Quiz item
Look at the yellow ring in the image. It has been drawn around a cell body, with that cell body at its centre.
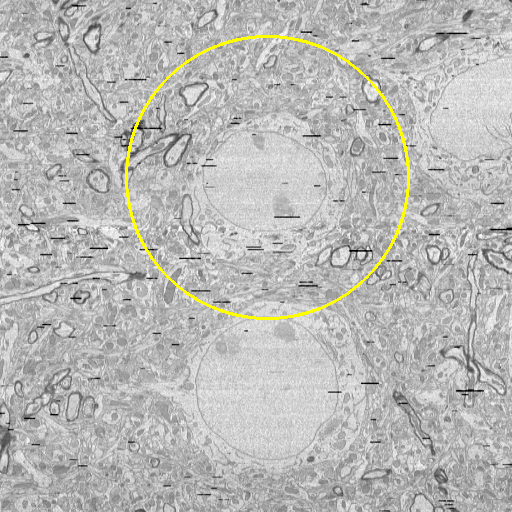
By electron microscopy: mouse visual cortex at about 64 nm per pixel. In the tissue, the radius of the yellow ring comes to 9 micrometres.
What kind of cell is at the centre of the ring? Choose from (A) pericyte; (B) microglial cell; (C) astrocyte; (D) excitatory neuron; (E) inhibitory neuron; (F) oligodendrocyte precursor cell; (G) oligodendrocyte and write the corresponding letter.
D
